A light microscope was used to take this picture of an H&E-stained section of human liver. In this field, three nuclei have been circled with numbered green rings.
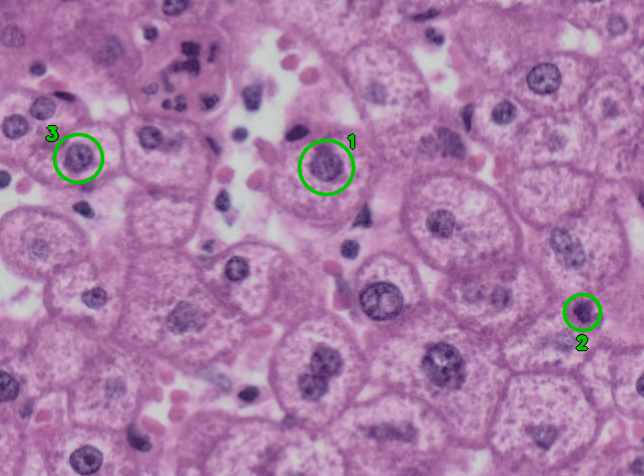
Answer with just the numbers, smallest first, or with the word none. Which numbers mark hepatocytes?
1, 3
